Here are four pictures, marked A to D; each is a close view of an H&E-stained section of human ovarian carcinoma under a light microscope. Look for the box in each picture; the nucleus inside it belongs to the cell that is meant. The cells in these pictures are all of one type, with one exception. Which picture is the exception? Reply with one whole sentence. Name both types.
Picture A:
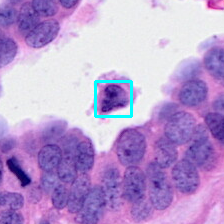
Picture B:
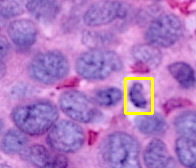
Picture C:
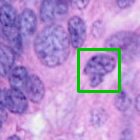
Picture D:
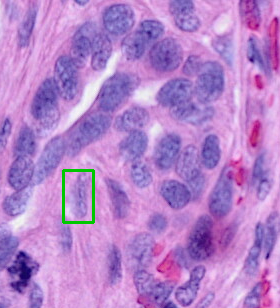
The others show “macrophages or monocytes”, but picture D shows a fibroblast.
